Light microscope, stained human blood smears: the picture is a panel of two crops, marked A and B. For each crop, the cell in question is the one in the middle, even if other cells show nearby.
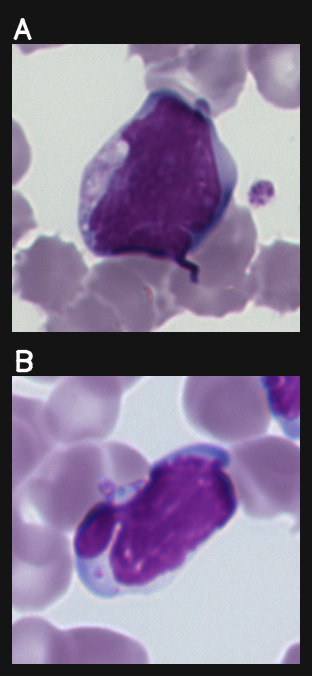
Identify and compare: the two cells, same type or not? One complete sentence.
No, crop A depicts a blast, and crop B depicts a large granular lymphocyte.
